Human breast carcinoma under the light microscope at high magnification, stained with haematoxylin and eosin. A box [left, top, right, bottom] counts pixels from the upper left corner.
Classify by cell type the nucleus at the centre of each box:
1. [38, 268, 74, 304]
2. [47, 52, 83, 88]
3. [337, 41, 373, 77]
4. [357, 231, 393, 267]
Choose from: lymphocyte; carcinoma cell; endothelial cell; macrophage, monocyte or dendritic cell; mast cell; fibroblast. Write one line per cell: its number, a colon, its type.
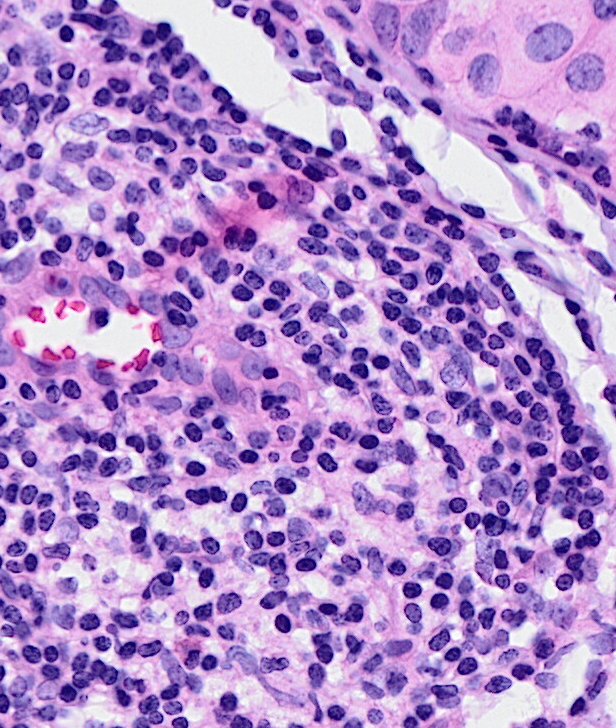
1: endothelial cell
2: lymphocyte
3: lymphocyte
4: lymphocyte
